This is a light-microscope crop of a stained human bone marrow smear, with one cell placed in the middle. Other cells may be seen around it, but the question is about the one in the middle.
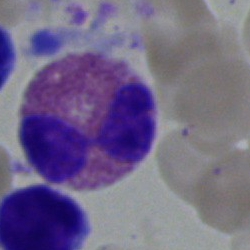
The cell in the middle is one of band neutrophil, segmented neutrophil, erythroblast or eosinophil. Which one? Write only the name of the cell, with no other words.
eosinophil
